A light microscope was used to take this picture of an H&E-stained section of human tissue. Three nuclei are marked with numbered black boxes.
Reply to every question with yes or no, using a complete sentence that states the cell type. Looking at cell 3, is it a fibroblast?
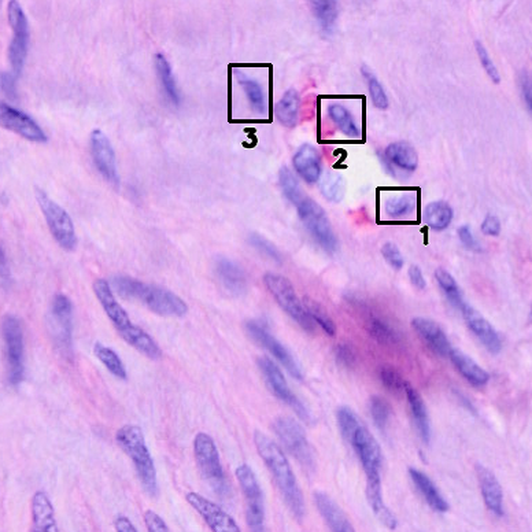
Yes, with respect to number 3, the cell is a fibroblast.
